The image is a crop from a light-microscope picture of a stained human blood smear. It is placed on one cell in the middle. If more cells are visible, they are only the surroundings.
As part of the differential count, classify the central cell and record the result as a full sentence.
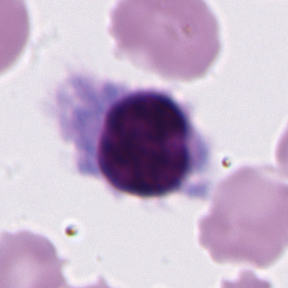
The centrally located cell in the crop is a hairy cell.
